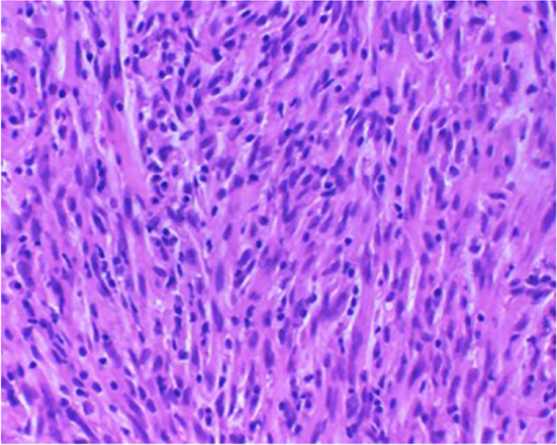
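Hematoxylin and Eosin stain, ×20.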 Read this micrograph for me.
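Elongated cells with tapered, oval to spindle-shaped purple nuclei and drawn-out pink cytoplasm lie side by side in parallel streams. The nuclei differ noticeably in size and shape, some plump and dark, others slender, with a few small round nuclei scattered between. This is a proliferation of spindle cells arranged in fascicles with nuclear pleomorphism.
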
